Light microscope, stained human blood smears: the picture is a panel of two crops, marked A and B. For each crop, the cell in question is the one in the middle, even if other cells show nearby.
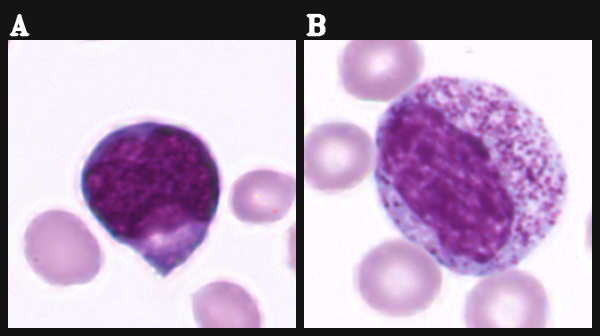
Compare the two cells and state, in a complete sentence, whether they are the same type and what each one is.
No, an atypical promyelocyte is the subject of crop A, and a myelocyte is the subject of crop B.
